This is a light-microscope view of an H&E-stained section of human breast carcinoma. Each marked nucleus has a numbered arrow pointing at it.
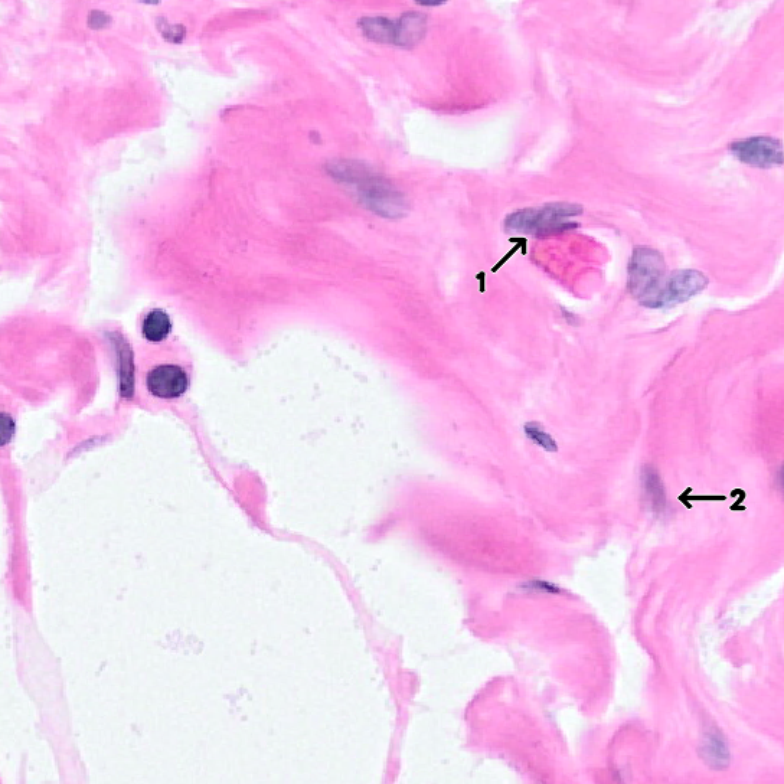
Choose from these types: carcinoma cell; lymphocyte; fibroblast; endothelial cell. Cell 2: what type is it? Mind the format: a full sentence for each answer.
Classified as a fibroblast is the cell with the number 2.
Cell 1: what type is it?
The cell referenced by the number 1 is an endothelial cell in this field.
